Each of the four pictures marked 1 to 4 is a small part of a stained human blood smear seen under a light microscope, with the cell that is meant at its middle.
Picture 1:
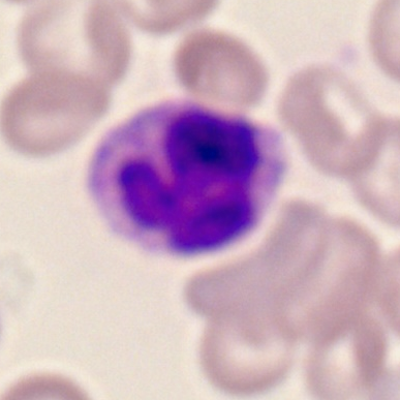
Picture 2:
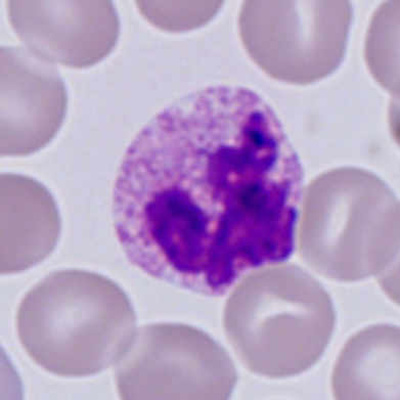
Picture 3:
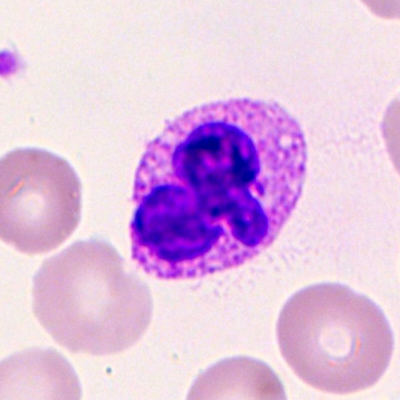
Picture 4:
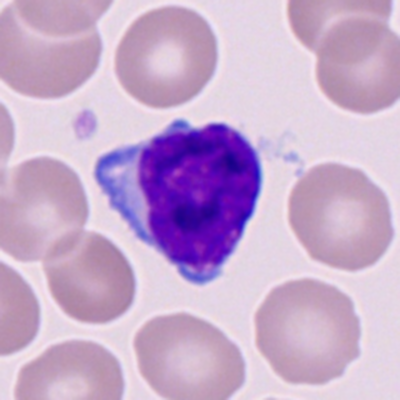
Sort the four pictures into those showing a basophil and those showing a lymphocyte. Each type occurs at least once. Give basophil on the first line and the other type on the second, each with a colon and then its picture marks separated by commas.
basophil: 1, 2, 3
lymphocyte: 4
